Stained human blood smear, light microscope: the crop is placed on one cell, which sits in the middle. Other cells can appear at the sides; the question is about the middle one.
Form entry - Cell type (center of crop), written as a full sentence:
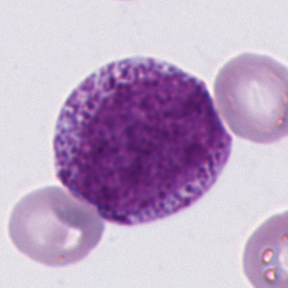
In the center of this field lies a promyelocyte.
